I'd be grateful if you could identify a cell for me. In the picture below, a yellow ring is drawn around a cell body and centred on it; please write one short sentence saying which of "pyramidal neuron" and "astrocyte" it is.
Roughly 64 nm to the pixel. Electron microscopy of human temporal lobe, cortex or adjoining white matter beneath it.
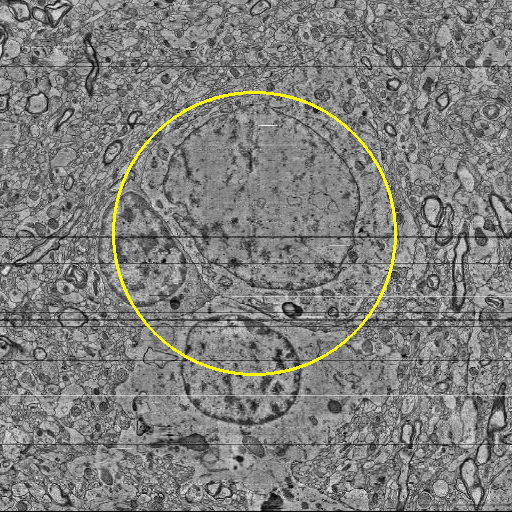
The cell under the ring's centre is a pyramidal neuron.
